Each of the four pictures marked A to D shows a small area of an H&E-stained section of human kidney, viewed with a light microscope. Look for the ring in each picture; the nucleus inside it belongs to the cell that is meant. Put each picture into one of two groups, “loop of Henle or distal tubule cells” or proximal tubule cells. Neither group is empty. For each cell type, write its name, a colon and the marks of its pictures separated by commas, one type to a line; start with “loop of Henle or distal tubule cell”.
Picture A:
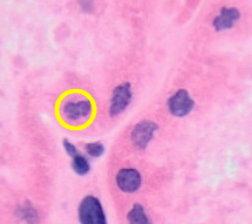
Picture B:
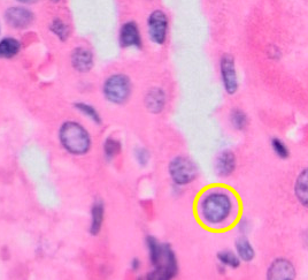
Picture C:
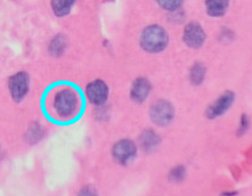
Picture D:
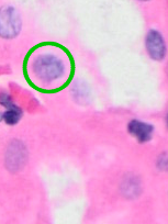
loop of Henle or distal tubule cell: B, C, D
proximal tubule cell: A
